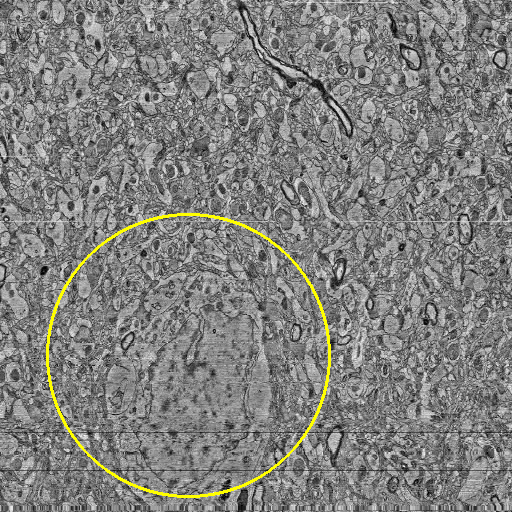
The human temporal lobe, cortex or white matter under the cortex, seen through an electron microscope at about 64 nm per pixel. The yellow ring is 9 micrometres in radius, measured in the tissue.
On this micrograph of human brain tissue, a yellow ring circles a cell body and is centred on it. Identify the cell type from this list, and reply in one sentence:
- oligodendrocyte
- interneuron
The cell at the centre is an interneuron.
